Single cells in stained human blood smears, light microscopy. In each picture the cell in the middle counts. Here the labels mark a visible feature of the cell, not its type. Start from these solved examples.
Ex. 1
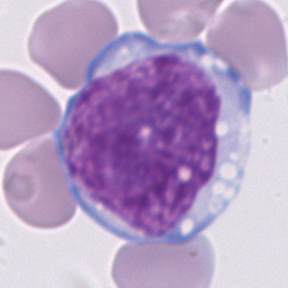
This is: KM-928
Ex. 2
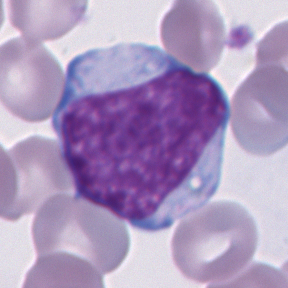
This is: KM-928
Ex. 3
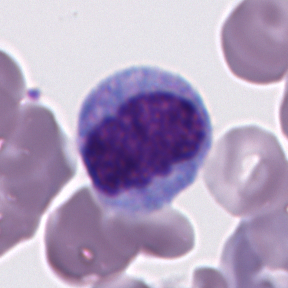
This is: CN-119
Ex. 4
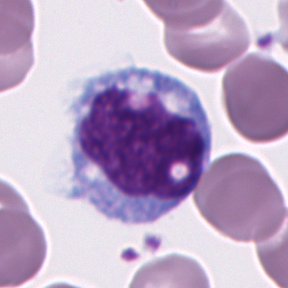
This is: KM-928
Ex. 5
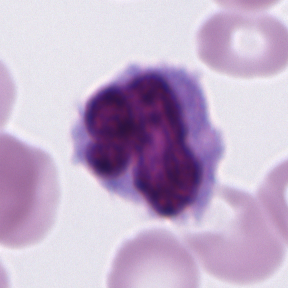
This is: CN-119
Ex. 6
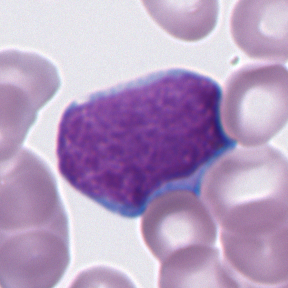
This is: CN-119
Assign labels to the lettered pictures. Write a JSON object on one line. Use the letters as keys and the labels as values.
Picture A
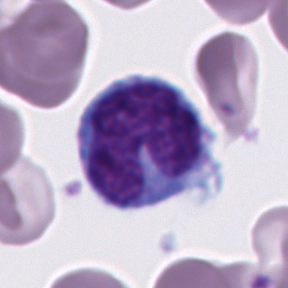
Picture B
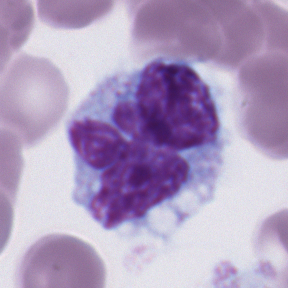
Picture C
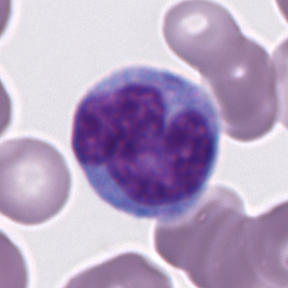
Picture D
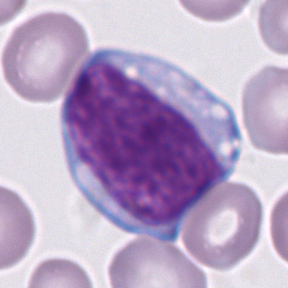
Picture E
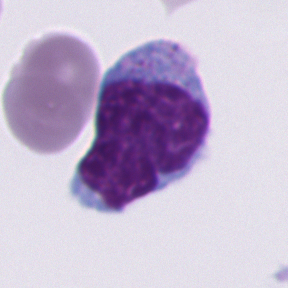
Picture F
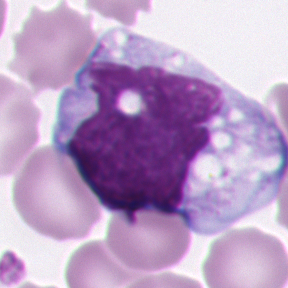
{"A": "CN-119", "B": "KM-928", "C": "CN-119", "D": "KM-928", "E": "CN-119", "F": "KM-928"}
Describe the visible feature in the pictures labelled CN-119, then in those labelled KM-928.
CN-119, no vacuoles; KM-928, vacuoles present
